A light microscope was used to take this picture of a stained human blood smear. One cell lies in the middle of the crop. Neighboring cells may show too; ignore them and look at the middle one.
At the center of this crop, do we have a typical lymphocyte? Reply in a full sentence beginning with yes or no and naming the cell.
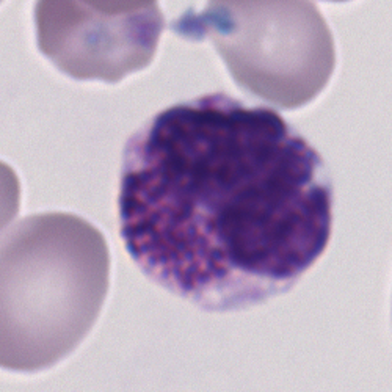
No, this one is a basophil; it is not a typical lymphocyte.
